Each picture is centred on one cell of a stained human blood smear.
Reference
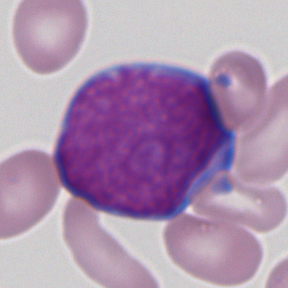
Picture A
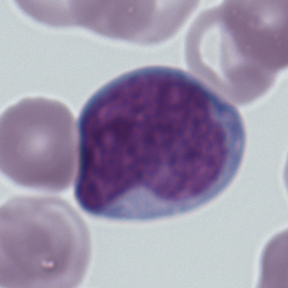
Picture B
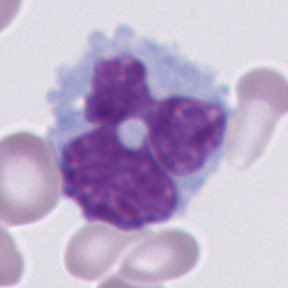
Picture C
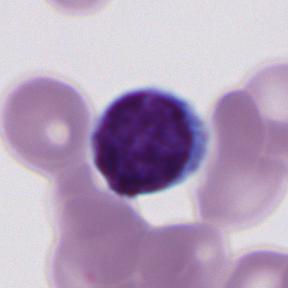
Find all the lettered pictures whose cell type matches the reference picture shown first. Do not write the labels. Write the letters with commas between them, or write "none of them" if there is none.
A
